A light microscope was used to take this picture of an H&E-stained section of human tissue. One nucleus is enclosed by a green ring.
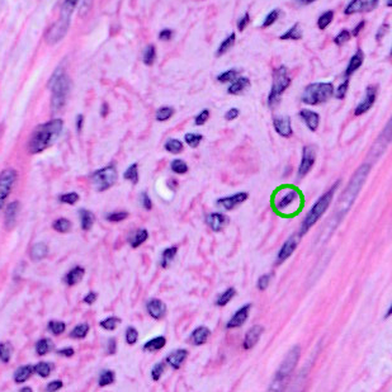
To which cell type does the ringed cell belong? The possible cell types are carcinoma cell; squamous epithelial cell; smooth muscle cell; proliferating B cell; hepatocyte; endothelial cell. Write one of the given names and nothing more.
smooth muscle cell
